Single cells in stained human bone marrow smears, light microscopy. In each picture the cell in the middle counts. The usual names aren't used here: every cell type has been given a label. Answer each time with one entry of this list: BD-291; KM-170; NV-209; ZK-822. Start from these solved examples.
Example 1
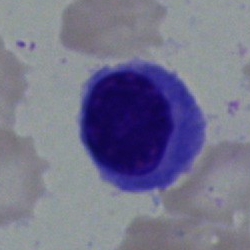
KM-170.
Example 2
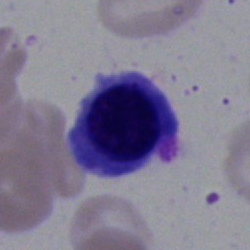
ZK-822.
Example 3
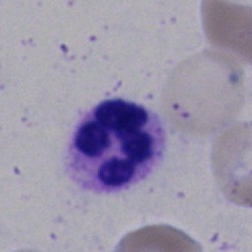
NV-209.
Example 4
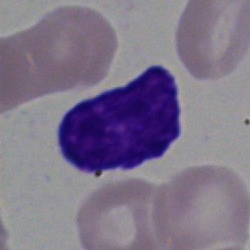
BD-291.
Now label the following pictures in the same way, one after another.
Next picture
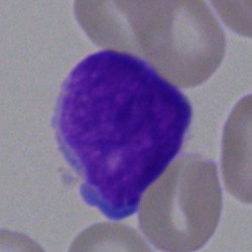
BD-291.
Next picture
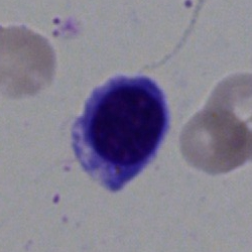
ZK-822.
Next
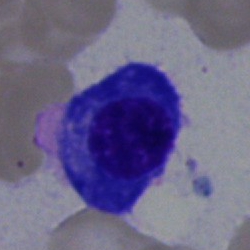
KM-170.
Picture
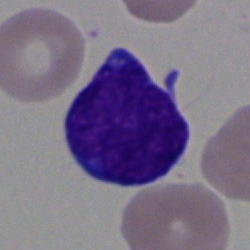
BD-291.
